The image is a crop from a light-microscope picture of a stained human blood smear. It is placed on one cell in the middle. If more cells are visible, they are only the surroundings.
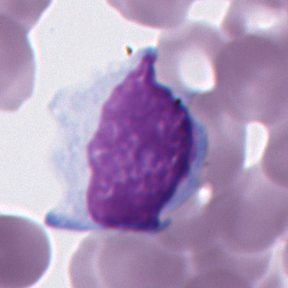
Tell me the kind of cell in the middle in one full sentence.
The crop shows a typical lymphocyte in its centre.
